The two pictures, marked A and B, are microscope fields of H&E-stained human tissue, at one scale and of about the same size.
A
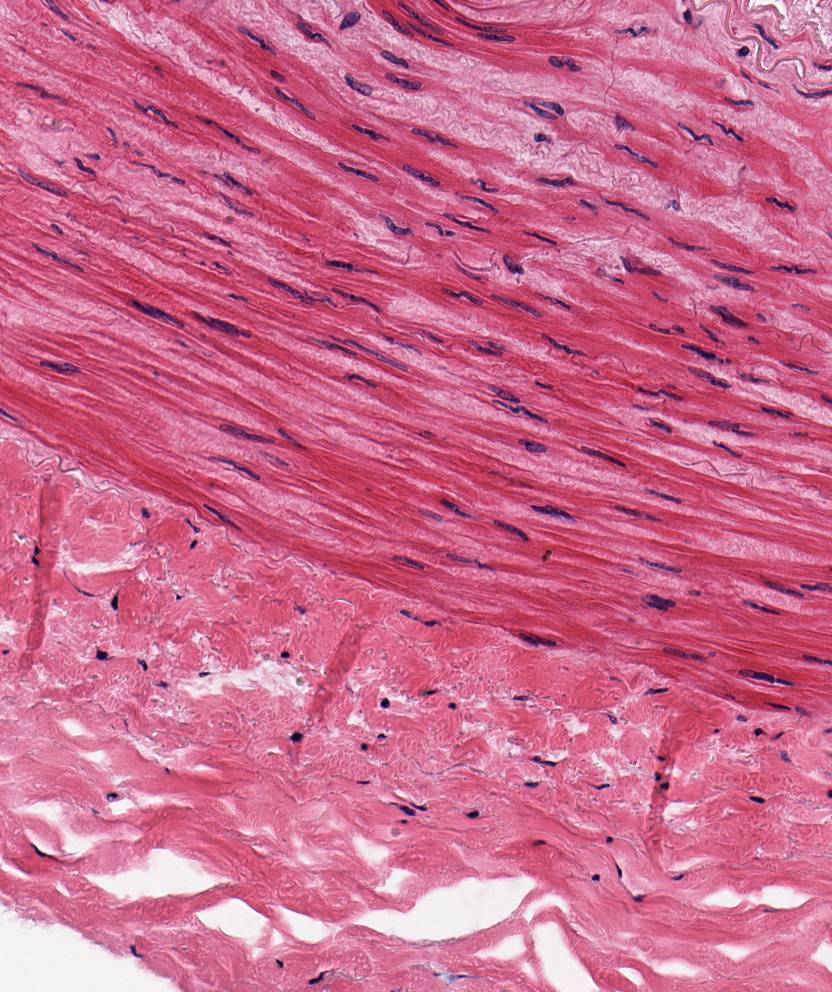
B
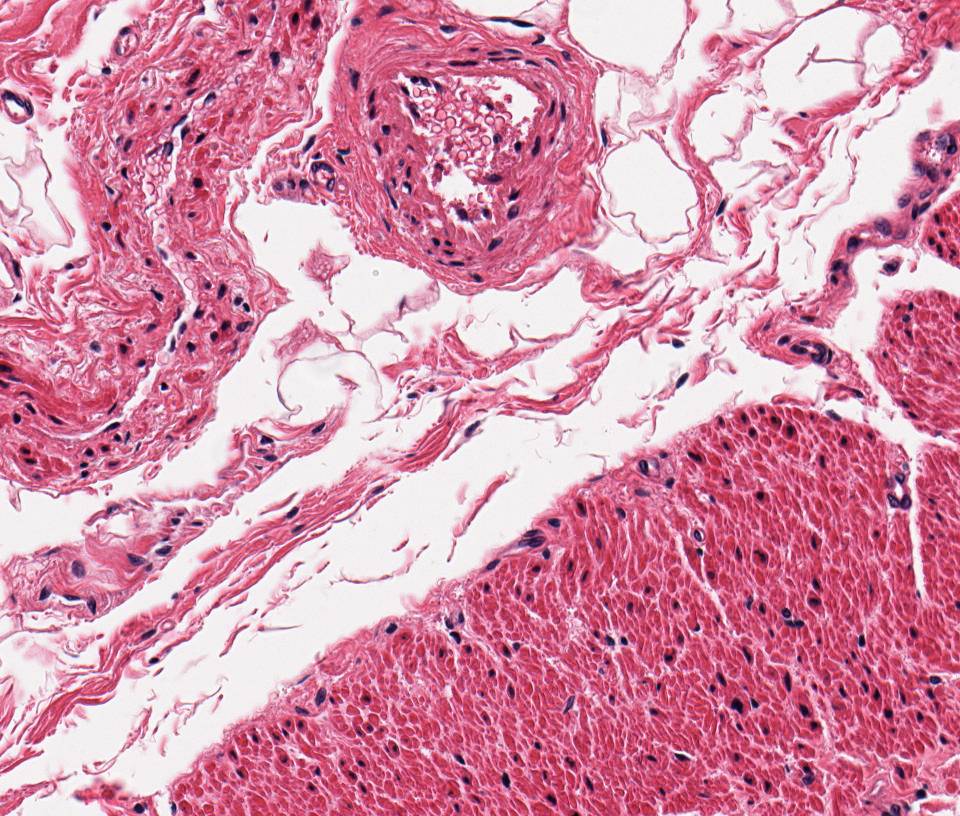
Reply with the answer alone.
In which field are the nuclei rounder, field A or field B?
B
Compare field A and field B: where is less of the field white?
A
